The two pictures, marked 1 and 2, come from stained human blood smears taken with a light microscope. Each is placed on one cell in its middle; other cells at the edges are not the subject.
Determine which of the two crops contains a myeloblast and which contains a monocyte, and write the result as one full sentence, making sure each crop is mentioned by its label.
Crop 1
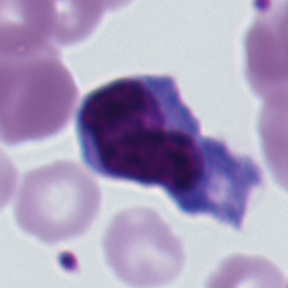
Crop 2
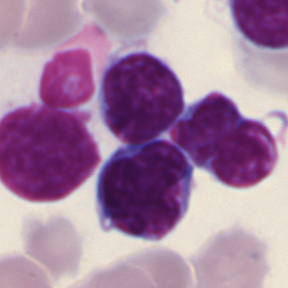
Crop 1 depicts a monocyte, and a myeloblast is depicted in crop 2.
